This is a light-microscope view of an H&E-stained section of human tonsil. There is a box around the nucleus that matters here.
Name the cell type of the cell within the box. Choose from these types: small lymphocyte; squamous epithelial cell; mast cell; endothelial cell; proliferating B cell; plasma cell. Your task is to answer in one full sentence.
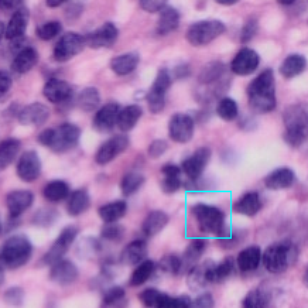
Placed in its cell category, the cell within the box is a proliferating B cell.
